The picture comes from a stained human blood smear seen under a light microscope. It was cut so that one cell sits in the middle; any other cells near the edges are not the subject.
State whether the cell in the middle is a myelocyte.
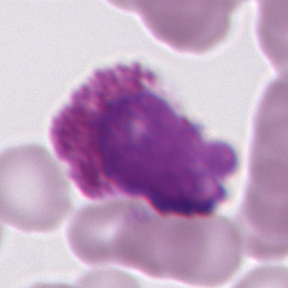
no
